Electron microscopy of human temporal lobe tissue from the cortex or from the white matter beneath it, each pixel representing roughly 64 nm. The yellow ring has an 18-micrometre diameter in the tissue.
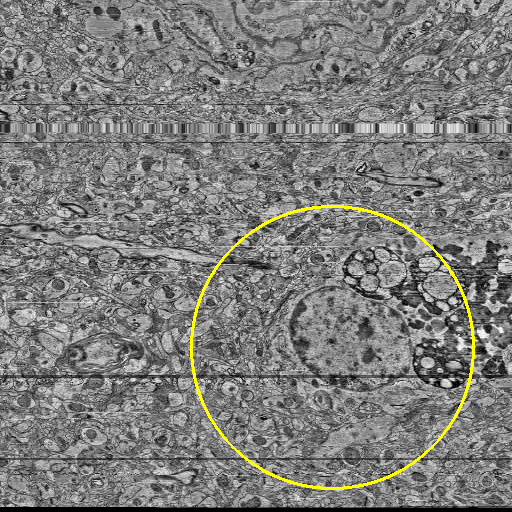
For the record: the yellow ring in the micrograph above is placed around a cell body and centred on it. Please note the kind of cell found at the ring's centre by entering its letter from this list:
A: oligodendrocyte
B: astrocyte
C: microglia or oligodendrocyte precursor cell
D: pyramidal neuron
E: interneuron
B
